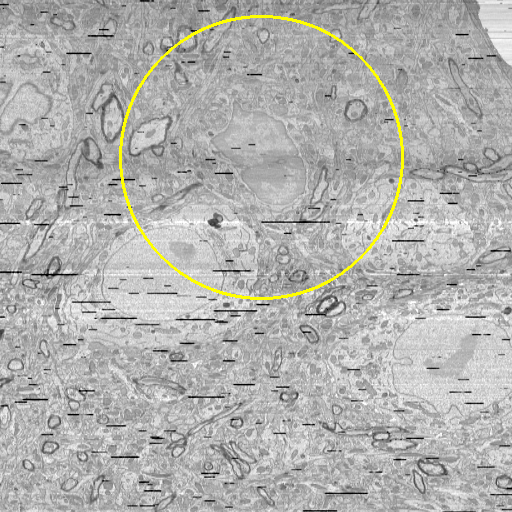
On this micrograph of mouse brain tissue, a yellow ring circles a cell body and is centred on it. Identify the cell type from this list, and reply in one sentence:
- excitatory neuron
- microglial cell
The cell at the centre is a microglial cell.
